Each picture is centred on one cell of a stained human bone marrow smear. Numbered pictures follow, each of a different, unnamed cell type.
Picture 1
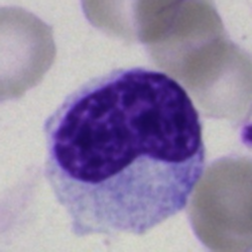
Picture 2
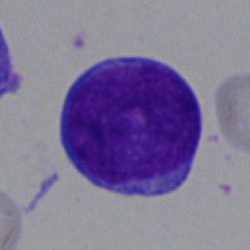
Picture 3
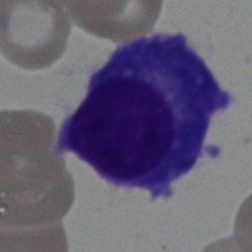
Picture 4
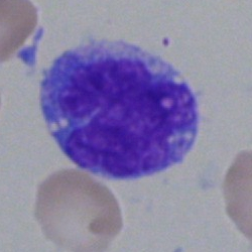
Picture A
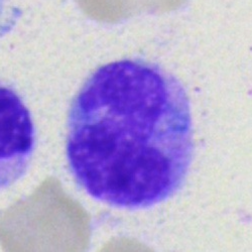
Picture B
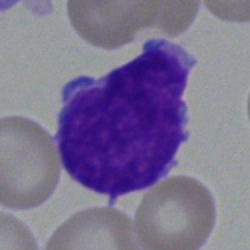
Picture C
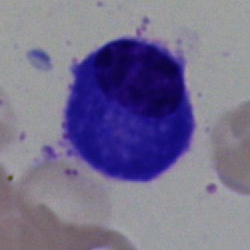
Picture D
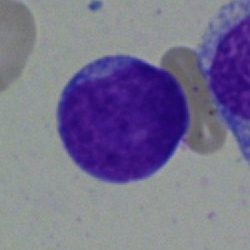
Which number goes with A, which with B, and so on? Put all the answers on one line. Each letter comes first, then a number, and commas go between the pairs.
A 4, B 2, C 3, D 2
